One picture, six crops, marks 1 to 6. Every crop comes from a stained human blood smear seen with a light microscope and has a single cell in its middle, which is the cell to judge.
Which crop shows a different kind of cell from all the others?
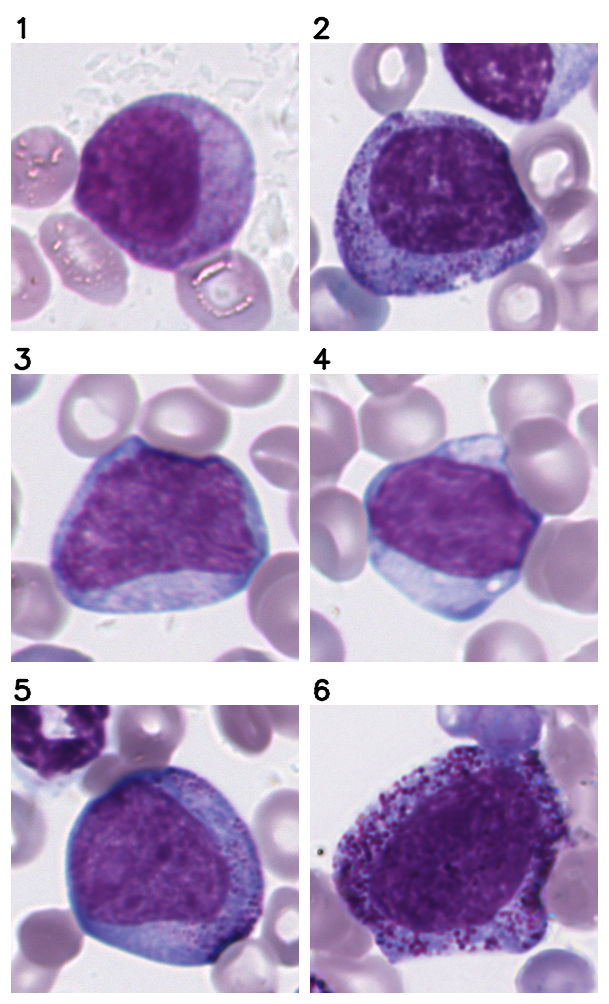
4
